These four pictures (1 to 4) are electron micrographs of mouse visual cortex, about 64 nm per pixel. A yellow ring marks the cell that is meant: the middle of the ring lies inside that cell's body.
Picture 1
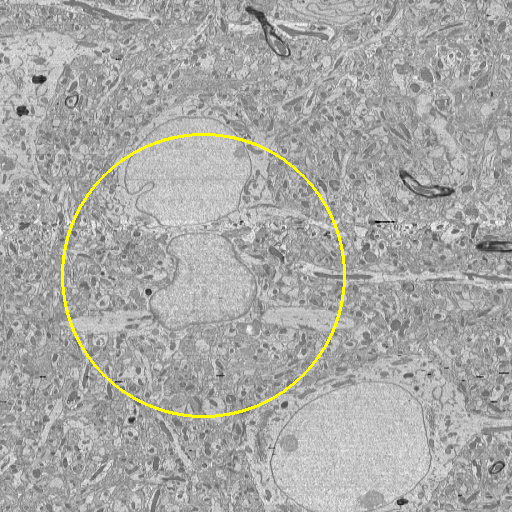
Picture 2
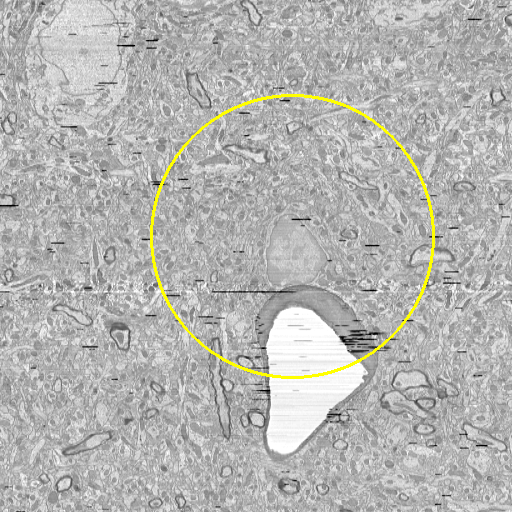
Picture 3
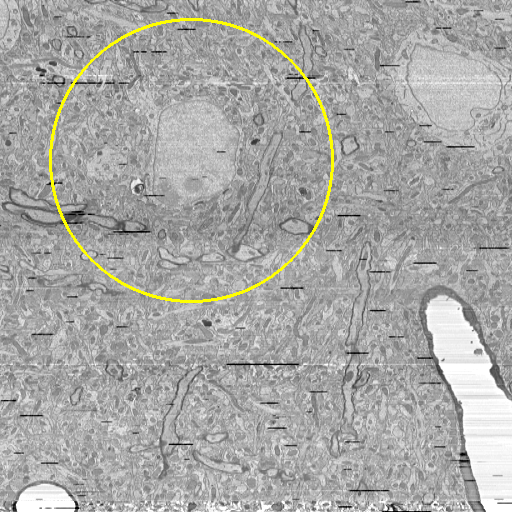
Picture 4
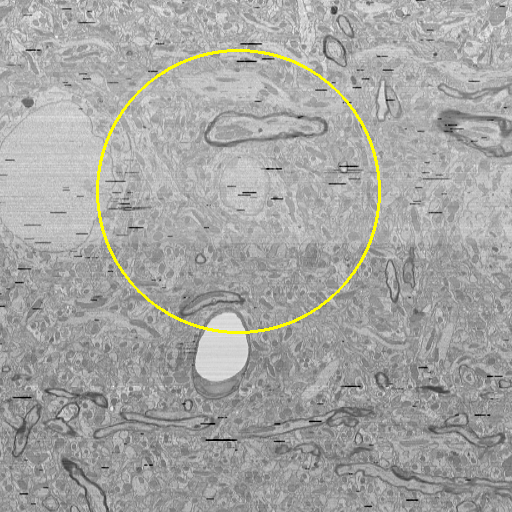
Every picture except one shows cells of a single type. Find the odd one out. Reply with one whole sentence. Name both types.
The others show astrocytes, but picture 2 shows a microglial cell.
